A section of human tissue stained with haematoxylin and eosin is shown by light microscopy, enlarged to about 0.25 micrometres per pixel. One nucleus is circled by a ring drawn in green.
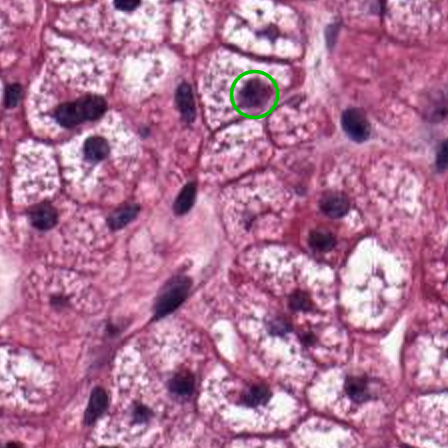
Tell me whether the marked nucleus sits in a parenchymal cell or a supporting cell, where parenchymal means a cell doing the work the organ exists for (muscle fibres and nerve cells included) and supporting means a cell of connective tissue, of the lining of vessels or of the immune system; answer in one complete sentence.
Within a parenchymal cell, namely an adrenal cortical cell, sits the marked nucleus.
